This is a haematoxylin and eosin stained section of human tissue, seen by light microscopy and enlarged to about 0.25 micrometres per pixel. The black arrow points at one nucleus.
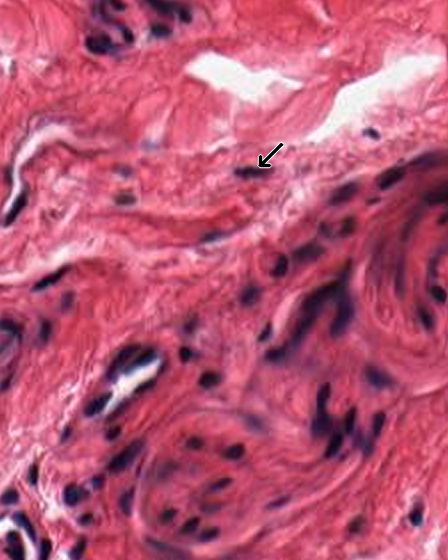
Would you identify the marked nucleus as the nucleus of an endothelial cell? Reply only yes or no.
no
